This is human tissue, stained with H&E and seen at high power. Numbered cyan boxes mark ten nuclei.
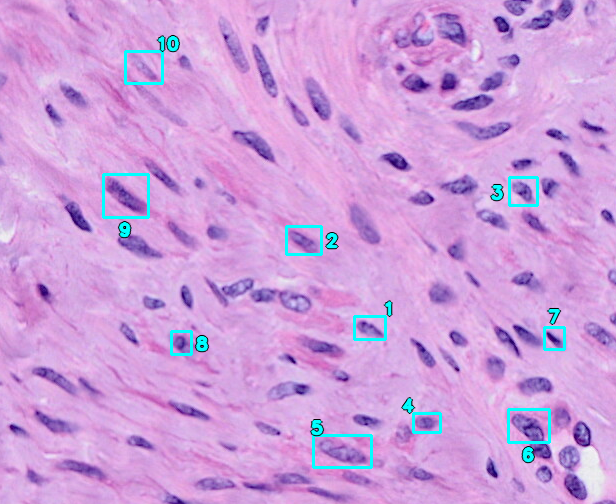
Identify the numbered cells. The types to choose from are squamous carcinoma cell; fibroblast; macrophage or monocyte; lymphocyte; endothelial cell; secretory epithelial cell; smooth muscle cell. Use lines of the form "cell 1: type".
cell 1: fibroblast
cell 2: smooth muscle cell
cell 3: fibroblast
cell 4: smooth muscle cell
cell 5: smooth muscle cell
cell 6: endothelial cell
cell 7: fibroblast
cell 8: smooth muscle cell
cell 9: smooth muscle cell
cell 10: smooth muscle cell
